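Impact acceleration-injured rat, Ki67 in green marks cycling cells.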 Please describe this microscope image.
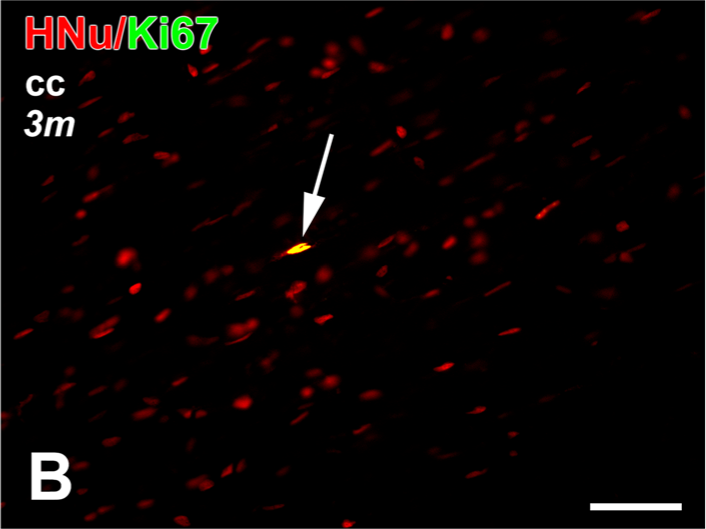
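Most are elongated and tilted in the same oblique direction, lying in line with the course of the white matter fibres, as migrating glial cells do. A few are rounder.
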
